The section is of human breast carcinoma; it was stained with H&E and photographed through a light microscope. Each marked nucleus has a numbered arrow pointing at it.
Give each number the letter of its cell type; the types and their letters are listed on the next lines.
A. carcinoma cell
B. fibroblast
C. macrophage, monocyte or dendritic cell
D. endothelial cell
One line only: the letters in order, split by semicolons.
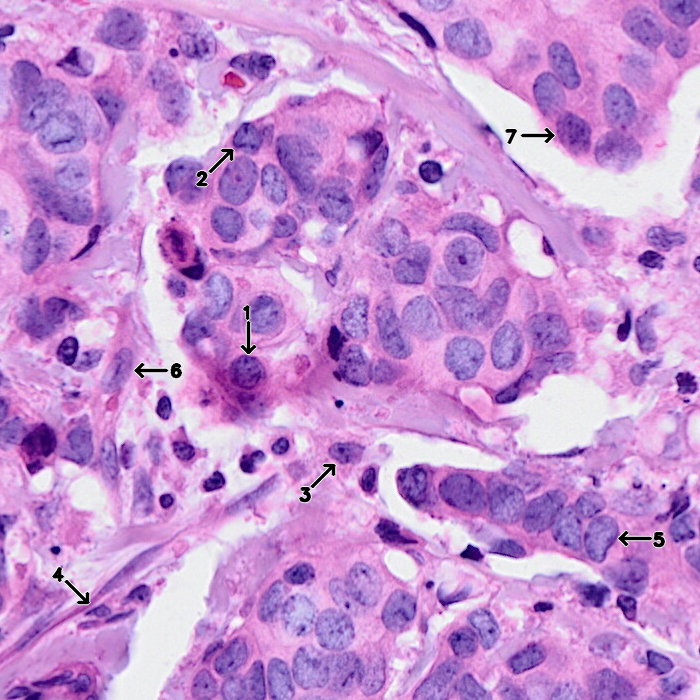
A; A; C; B; A; D; A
